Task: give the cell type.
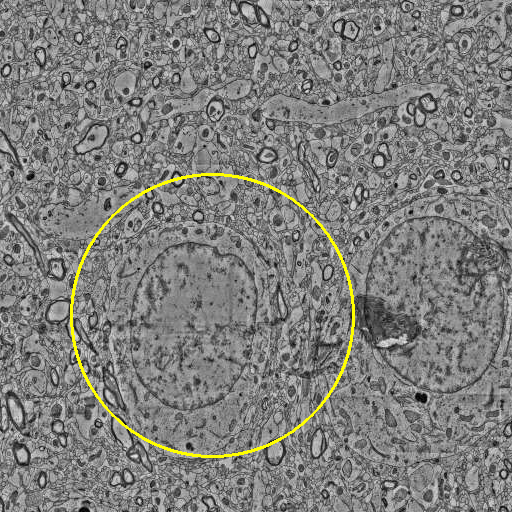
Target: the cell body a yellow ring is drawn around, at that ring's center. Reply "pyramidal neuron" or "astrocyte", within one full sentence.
In this picture, the cell whose body lies at the ring's center is a pyramidal neuron.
